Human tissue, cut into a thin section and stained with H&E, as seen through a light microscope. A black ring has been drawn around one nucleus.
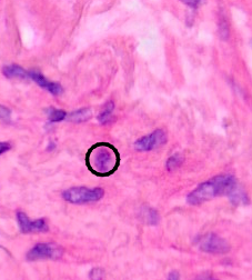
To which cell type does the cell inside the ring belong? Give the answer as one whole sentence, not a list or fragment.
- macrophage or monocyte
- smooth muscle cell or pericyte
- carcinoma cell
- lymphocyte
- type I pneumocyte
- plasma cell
By its classification, the cell inside the ring is a smooth muscle cell or pericyte.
